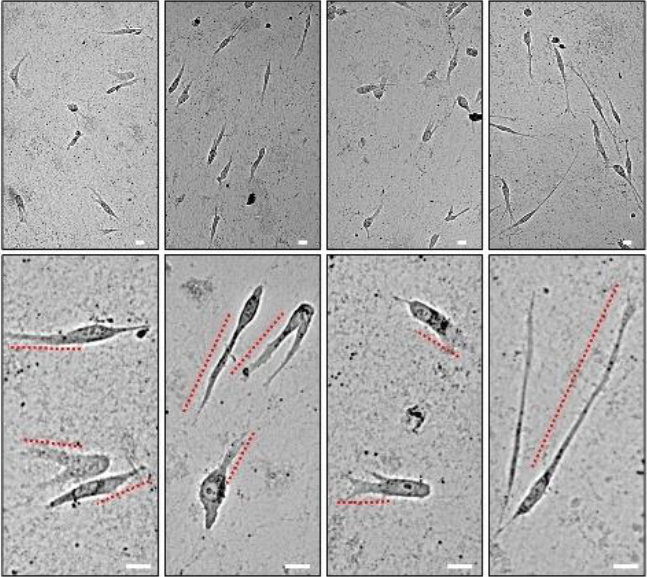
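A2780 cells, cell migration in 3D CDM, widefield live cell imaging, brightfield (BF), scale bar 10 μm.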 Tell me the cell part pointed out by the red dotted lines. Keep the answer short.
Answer: Pseudopodial protrusion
